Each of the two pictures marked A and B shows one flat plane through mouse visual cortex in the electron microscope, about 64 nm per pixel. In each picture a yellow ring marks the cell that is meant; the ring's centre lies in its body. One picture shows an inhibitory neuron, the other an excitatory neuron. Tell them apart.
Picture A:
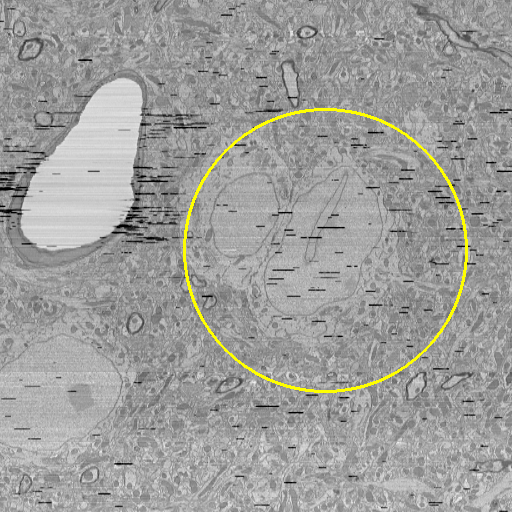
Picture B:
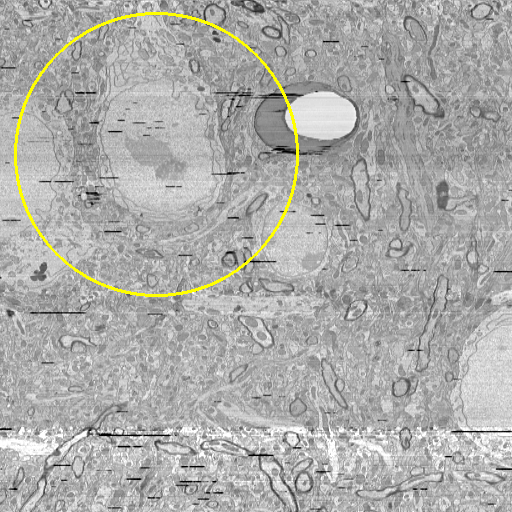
It is picture A that shows an excitatory neuron, and picture B that shows an inhibitory neuron.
